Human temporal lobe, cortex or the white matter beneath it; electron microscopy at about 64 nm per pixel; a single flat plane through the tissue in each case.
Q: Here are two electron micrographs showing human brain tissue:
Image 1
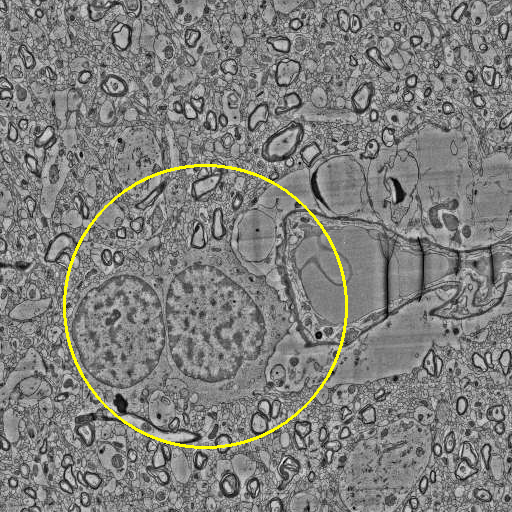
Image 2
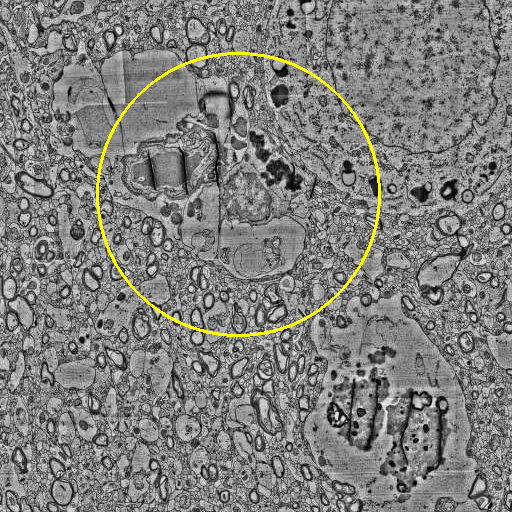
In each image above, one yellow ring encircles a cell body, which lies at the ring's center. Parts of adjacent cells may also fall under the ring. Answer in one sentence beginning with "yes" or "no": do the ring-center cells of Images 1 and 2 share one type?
Yes, in Images 1 and 2, the ring-center cells are both of one type.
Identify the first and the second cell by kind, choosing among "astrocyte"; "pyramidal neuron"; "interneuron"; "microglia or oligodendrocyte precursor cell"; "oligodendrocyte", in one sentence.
Both pictures show an oligodendrocyte at the centre of the ring.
